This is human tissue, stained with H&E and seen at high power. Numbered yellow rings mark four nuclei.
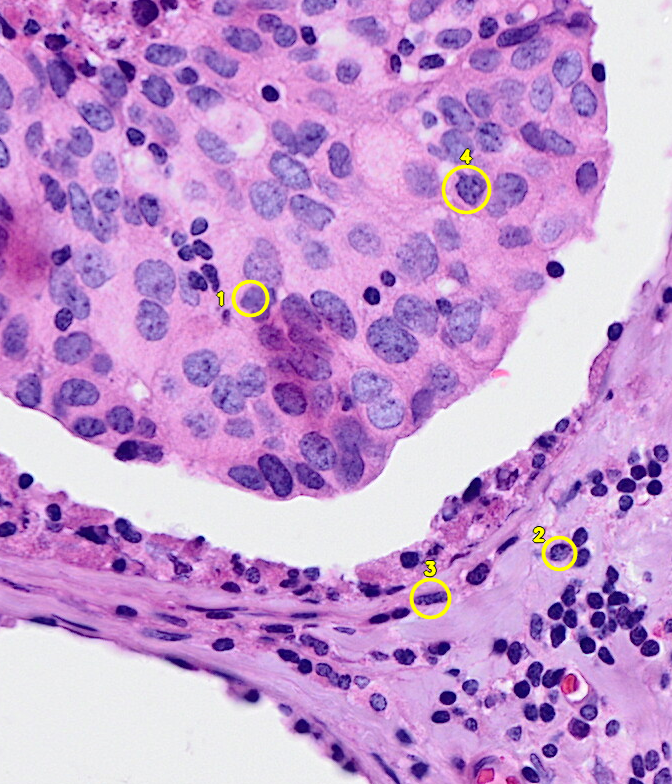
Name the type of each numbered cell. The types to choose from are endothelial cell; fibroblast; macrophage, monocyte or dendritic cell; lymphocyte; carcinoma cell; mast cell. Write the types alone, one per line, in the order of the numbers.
carcinoma cell
lymphocyte
mast cell
carcinoma cell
